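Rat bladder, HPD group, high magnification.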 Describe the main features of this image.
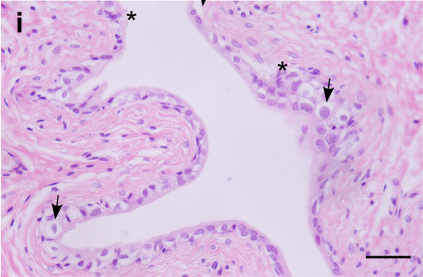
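Some lining cells have clear, vacuolated cytoplasm around the nucleus. The underlying connective tissue is loose, with scattered small nuclei, and it sits close beneath the thinned lining. The lumen between the folds is clear.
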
